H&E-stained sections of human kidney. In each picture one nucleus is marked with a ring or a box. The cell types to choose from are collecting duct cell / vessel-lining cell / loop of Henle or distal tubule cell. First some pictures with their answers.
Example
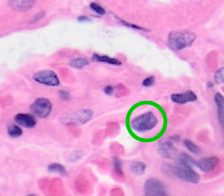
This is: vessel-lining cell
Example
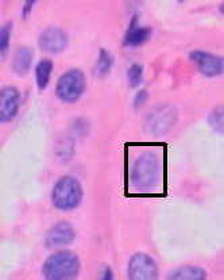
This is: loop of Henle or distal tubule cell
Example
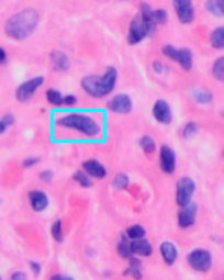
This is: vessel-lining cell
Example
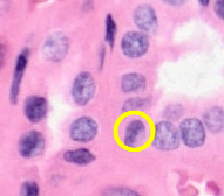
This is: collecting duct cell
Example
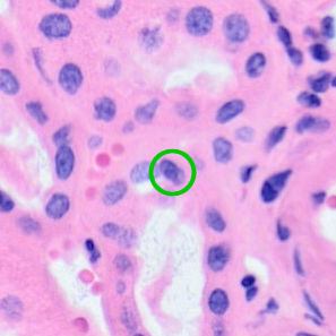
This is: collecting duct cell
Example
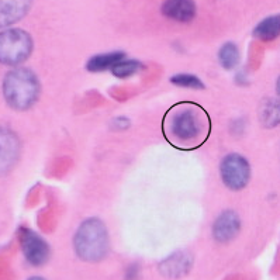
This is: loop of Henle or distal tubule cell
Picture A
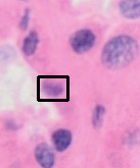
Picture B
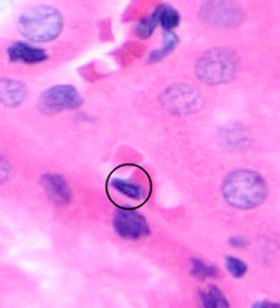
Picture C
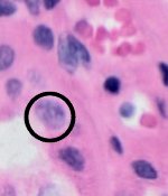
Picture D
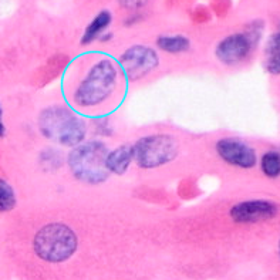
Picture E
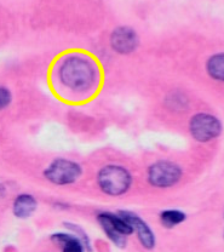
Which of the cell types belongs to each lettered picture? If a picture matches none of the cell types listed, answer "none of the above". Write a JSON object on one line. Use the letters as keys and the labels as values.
{"A": "loop of Henle or distal tubule cell", "B": "vessel-lining cell", "C": "collecting duct cell", "D": "collecting duct cell", "E": "none of the above"}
